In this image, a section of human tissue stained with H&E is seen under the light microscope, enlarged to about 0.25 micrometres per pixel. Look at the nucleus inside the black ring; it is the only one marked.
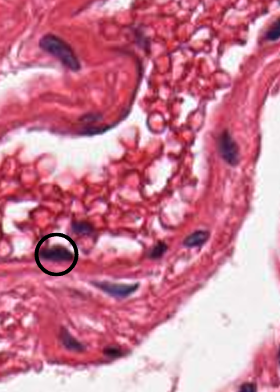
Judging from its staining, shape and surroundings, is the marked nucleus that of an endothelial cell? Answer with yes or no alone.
yes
